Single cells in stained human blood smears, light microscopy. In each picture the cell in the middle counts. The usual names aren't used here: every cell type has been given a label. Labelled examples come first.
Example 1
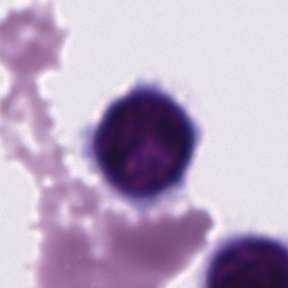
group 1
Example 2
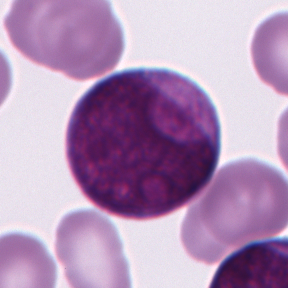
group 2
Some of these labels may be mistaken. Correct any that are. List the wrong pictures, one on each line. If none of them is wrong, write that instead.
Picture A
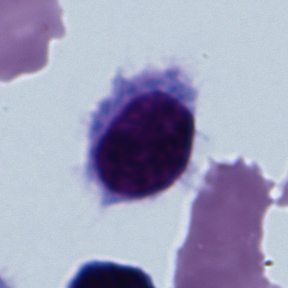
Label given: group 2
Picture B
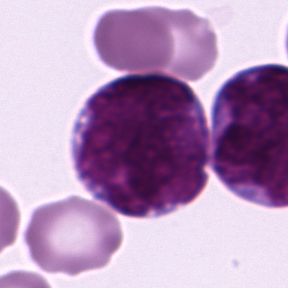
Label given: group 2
Wrong: A (group 2); correct: group 1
